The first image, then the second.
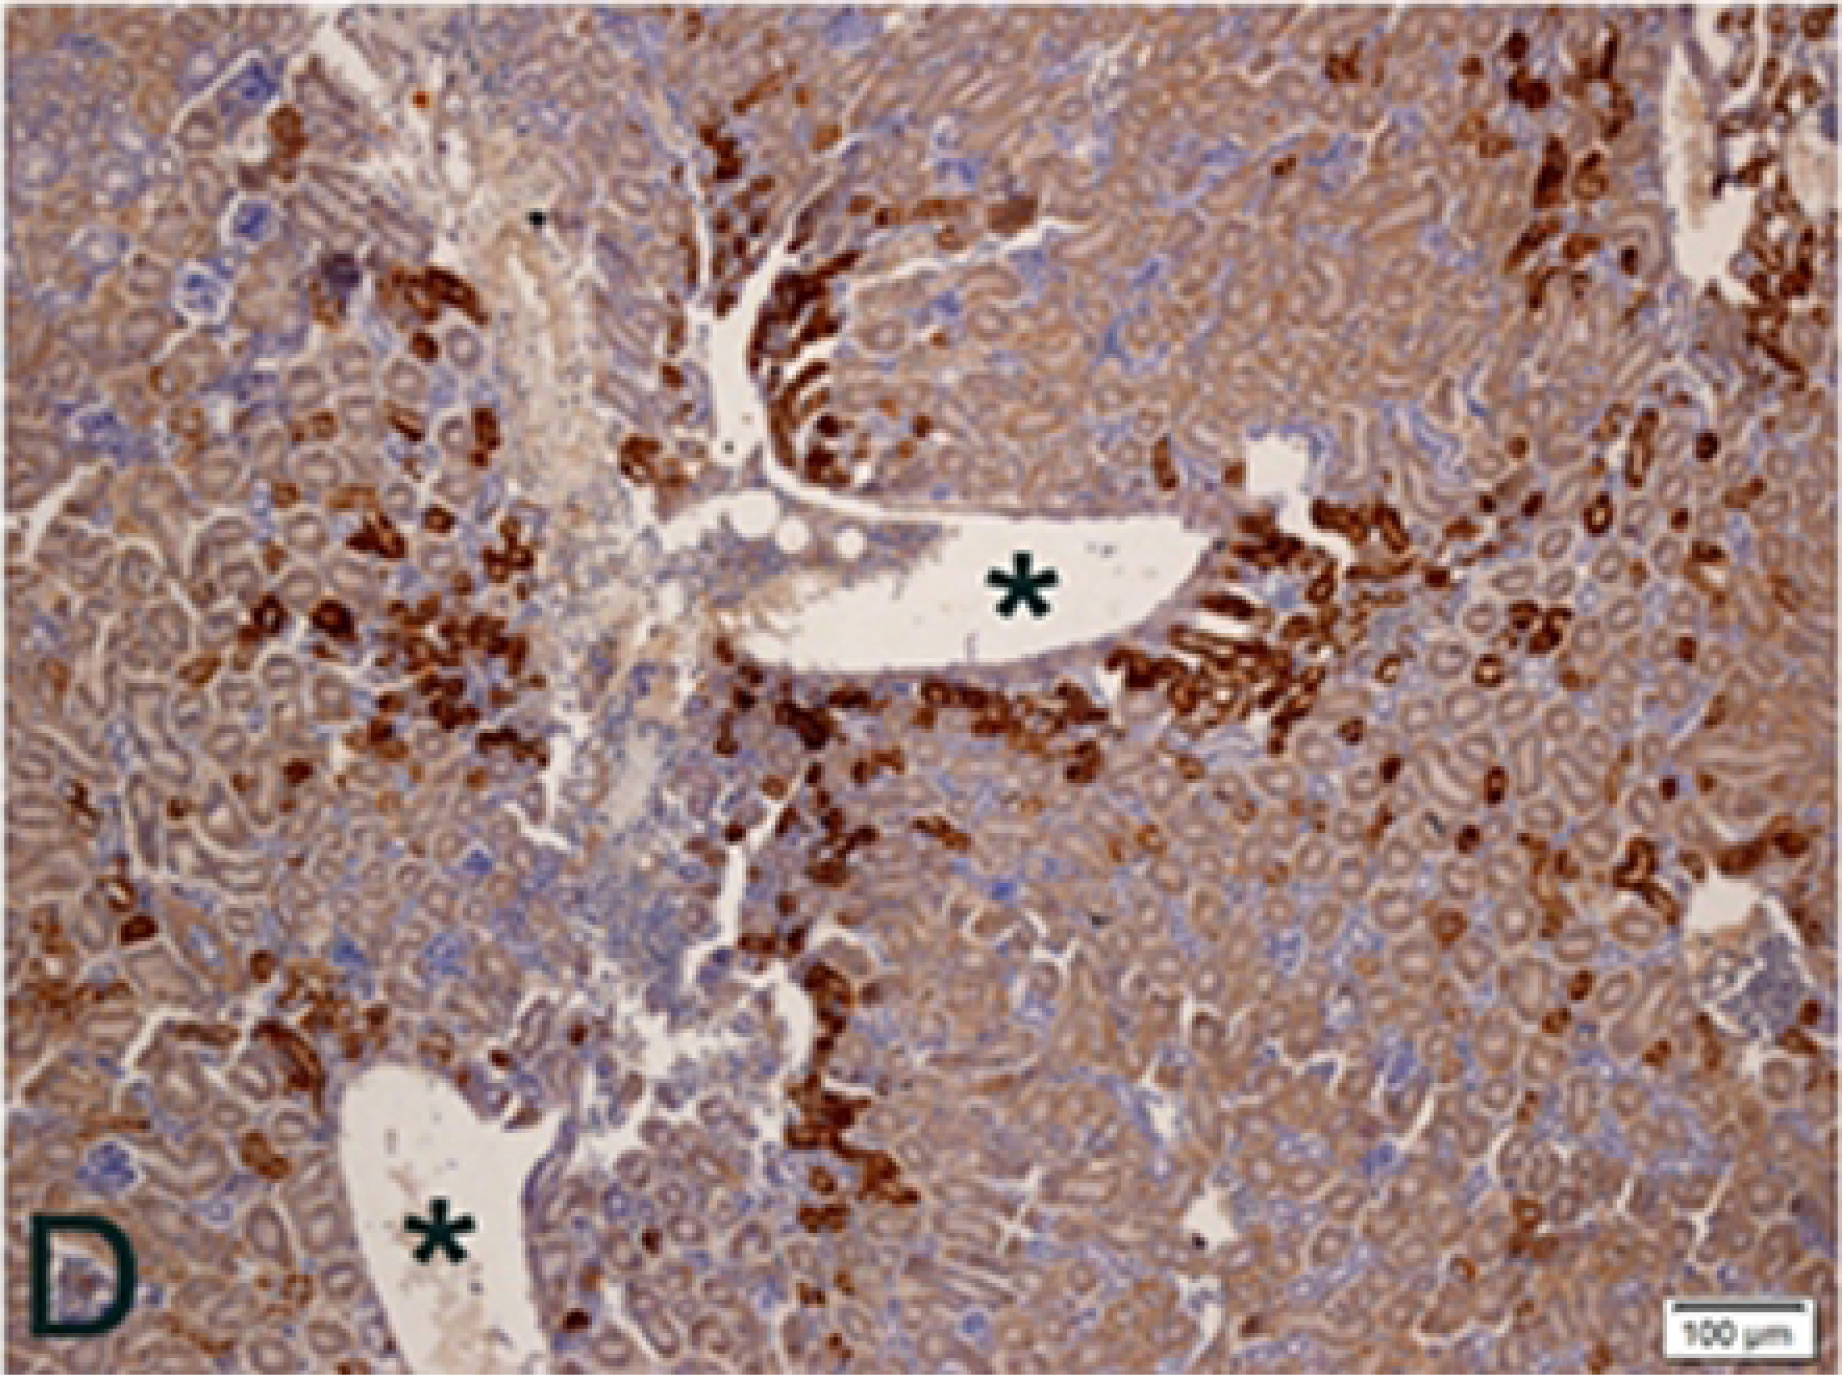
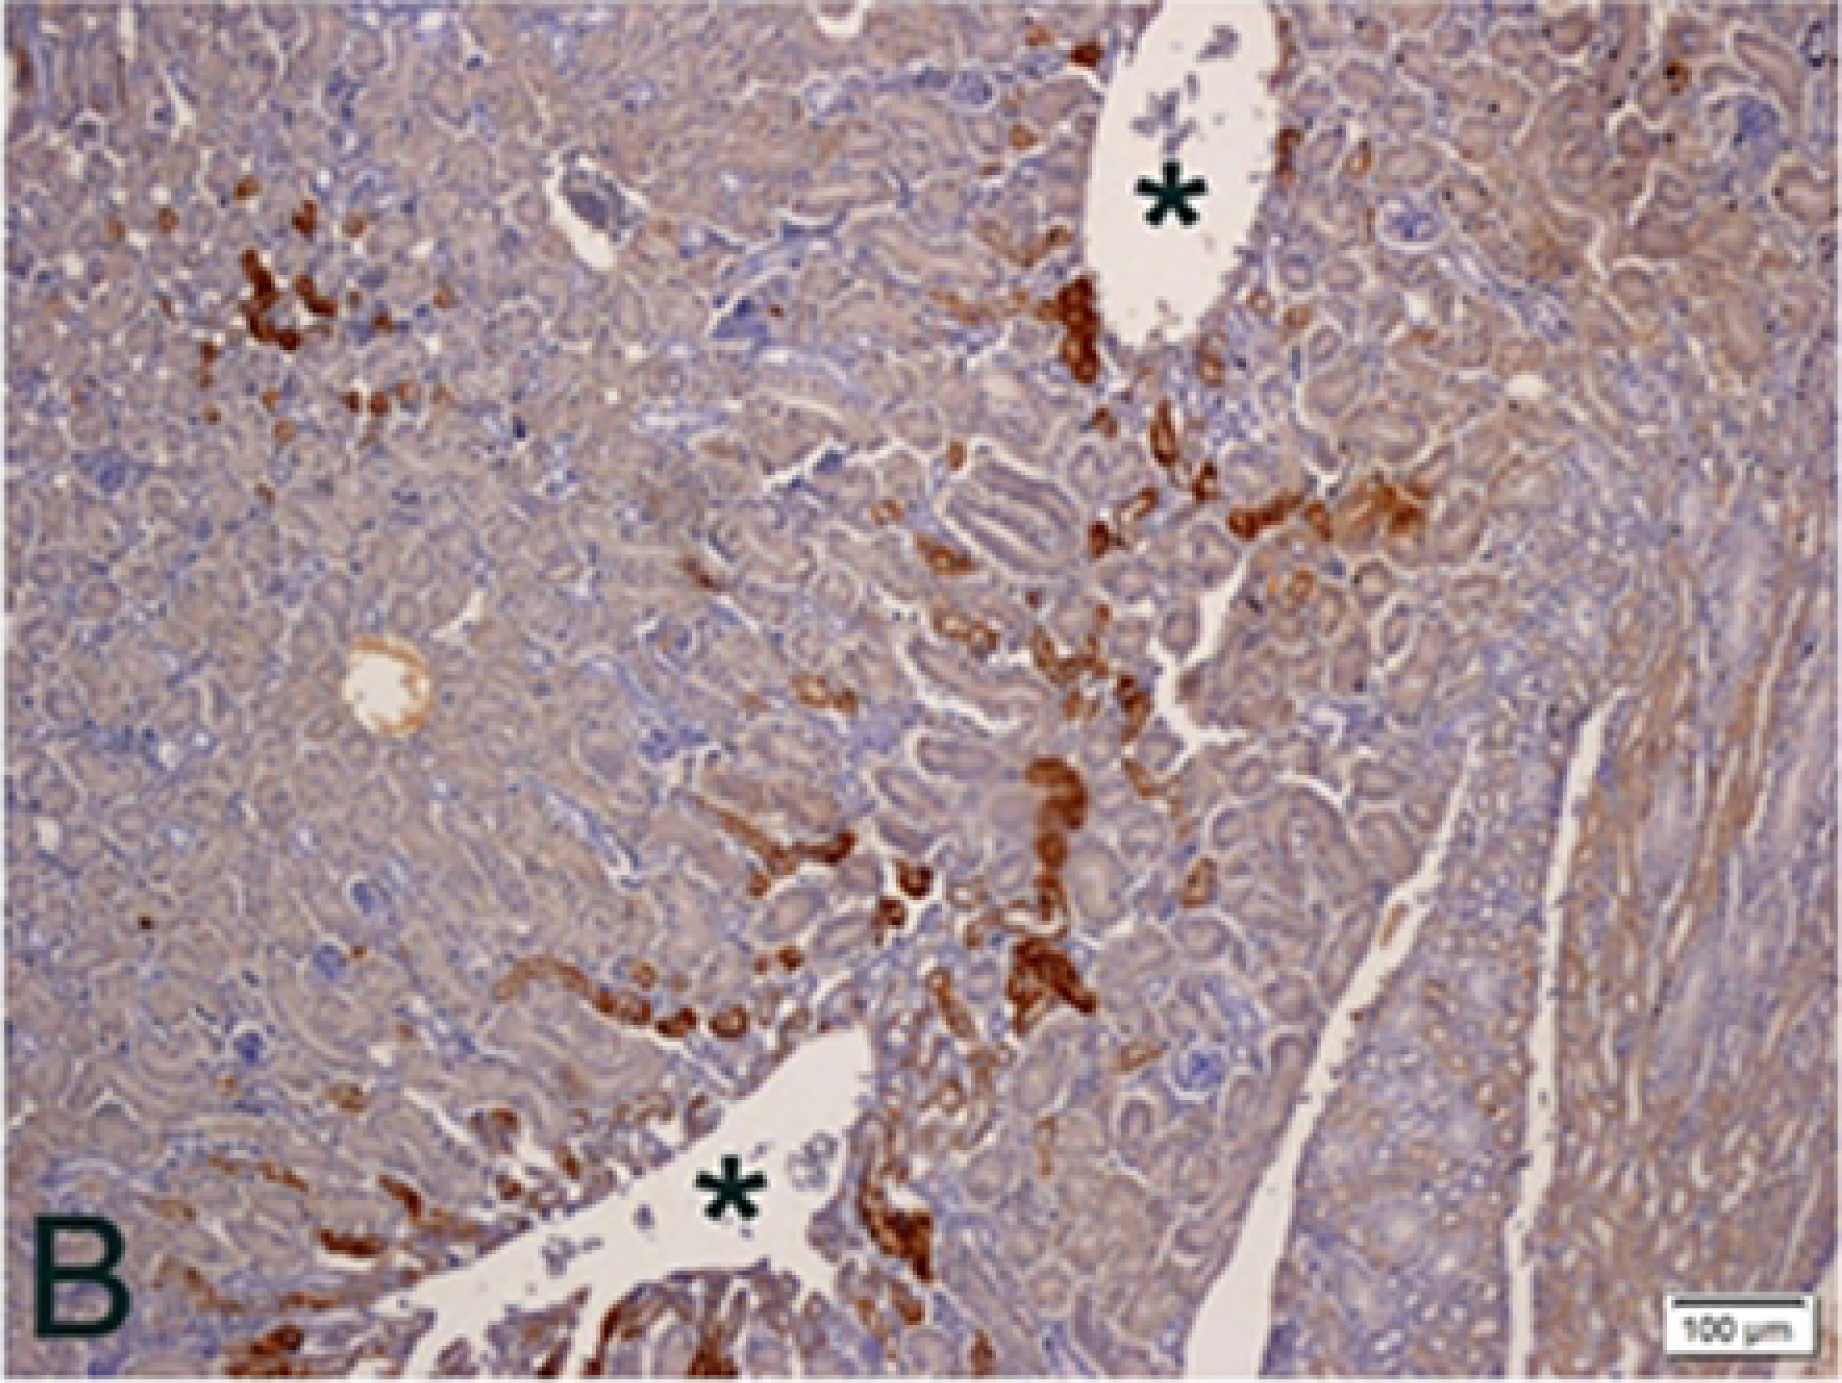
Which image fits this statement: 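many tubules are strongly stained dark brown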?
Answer: The first image.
